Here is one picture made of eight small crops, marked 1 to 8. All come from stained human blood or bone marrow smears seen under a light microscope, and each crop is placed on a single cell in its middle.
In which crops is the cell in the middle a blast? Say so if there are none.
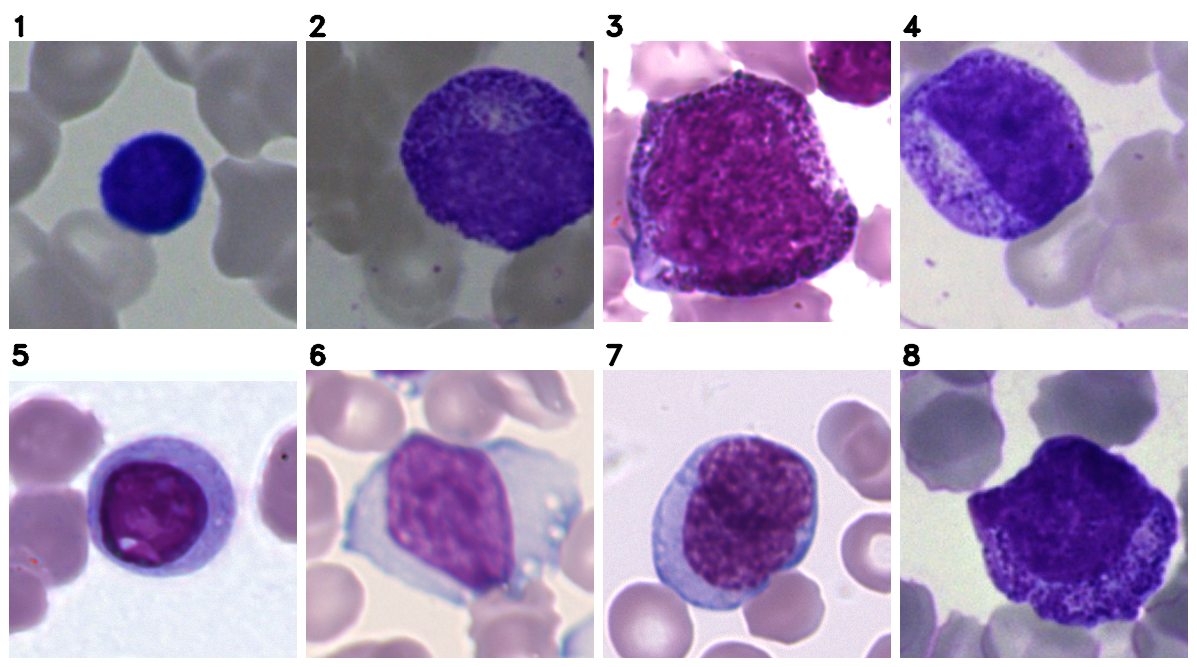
6, 7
